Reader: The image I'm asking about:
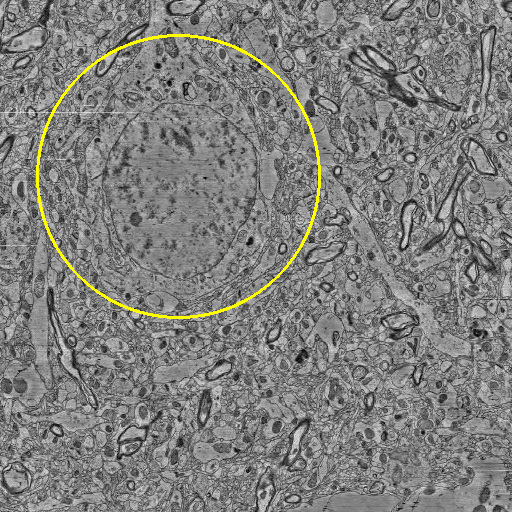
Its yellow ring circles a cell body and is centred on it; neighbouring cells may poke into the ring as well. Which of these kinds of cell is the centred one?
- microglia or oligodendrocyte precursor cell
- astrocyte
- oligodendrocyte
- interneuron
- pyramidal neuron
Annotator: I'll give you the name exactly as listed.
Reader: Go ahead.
pyramidal neuron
